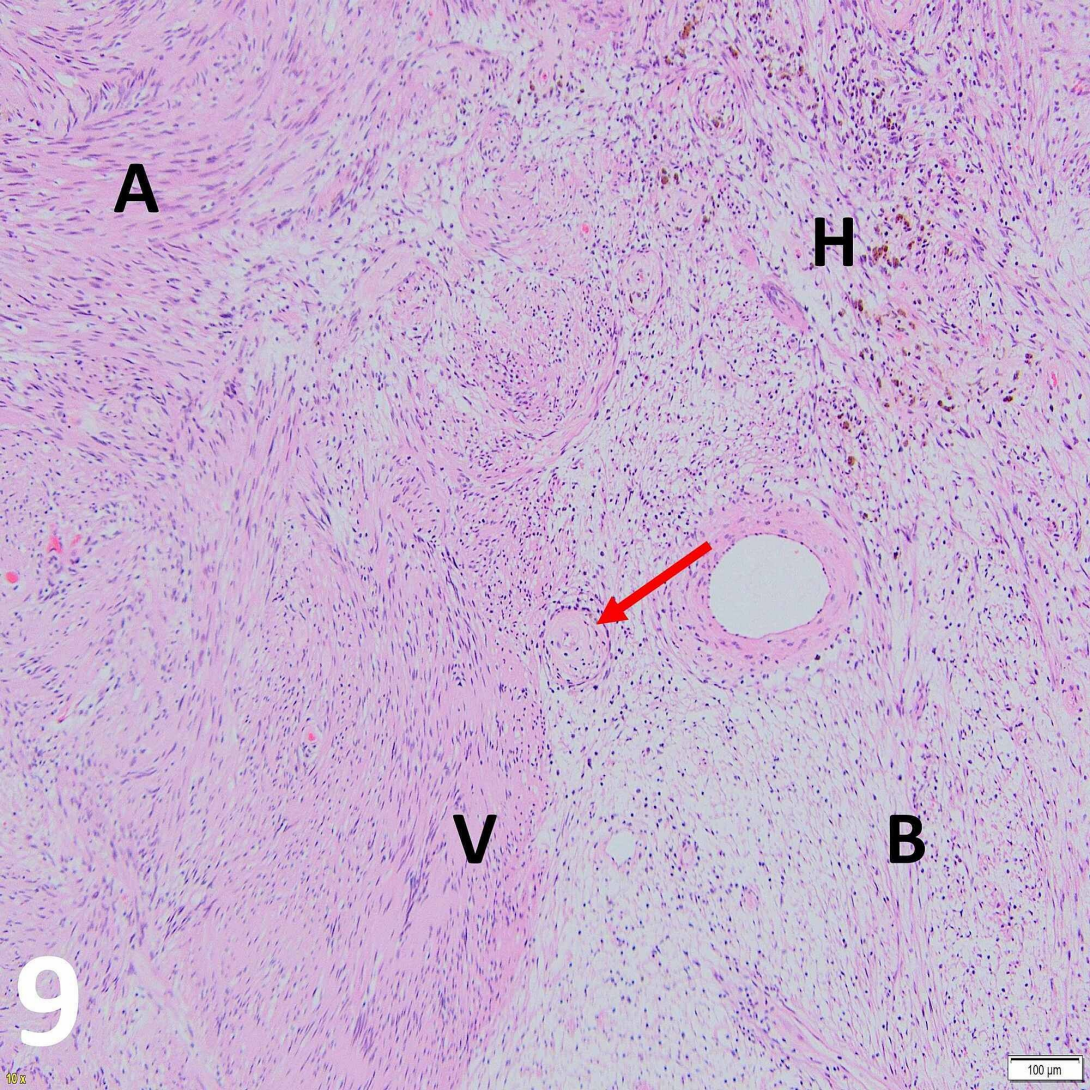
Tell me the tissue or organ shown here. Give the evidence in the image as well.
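Fascicles of spindle cells alternate with loose, pale, sparsely cellular areas. Thick-walled hyalinized vessels and brown pigment lie in the loose areas. So: schwannomas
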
